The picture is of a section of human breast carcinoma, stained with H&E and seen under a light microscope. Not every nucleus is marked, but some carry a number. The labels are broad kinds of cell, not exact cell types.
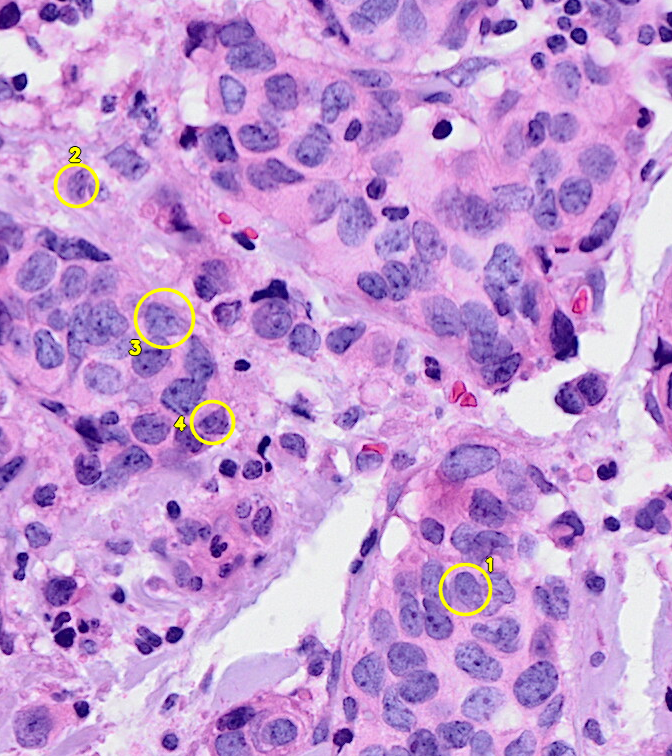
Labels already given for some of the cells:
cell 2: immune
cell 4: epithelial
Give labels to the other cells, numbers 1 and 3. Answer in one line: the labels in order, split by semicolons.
epithelial; epithelial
